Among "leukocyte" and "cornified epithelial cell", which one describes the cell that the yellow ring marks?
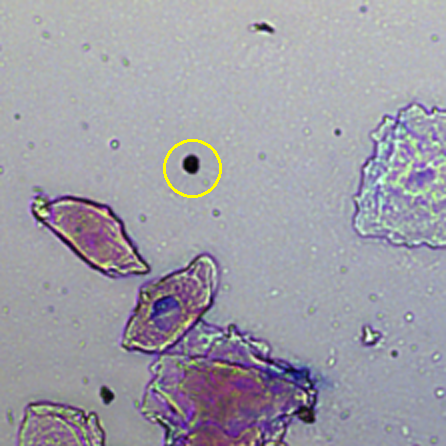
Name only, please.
leukocyte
